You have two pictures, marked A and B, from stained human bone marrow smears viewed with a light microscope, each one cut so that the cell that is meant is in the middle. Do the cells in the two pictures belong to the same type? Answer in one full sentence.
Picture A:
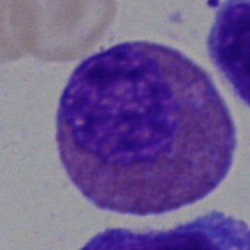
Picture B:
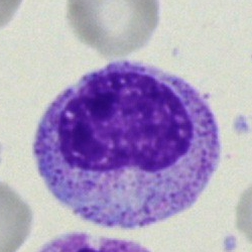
No, the types are not the same, since picture A shows an eosinophil and picture B a myelocyte.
